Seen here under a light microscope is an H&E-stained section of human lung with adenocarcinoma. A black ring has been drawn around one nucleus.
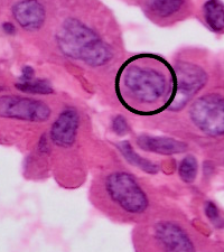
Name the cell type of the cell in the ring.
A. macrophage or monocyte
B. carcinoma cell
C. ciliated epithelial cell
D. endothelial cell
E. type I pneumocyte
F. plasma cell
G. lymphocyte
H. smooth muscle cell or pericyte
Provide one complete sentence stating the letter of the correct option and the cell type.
In short, option B: the cell in the ring is a carcinoma cell.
